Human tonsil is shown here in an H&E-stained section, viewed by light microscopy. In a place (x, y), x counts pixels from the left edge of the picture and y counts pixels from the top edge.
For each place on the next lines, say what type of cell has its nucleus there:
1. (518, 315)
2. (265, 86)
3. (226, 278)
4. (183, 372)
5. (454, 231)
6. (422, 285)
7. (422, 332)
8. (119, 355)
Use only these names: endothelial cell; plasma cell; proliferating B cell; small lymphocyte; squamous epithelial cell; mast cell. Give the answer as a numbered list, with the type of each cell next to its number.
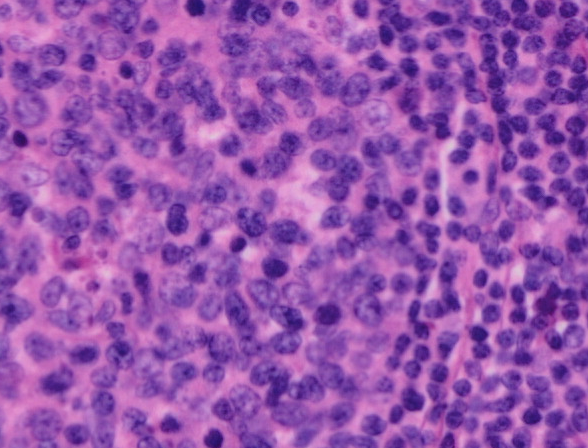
1. small lymphocyte
2. proliferating B cell
3. proliferating B cell
4. proliferating B cell
5. small lymphocyte
6. small lymphocyte
7. small lymphocyte
8. proliferating B cell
